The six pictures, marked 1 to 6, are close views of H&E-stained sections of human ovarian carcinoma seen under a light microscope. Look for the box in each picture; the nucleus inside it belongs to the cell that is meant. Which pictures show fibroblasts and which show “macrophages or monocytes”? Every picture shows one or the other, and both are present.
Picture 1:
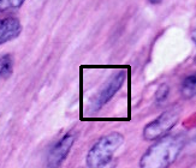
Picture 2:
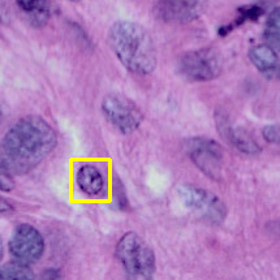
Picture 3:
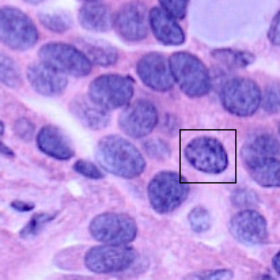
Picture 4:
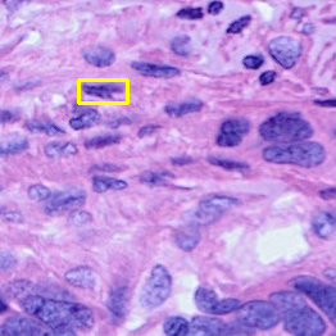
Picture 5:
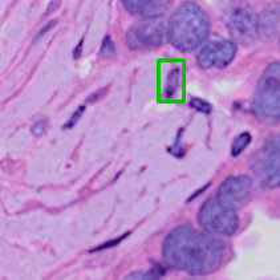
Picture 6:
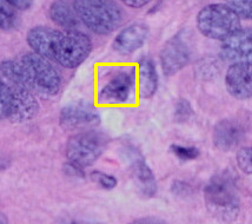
1: fibroblast
2: macrophage or monocyte
3: macrophage or monocyte
4: fibroblast
5: fibroblast
6: macrophage or monocyte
